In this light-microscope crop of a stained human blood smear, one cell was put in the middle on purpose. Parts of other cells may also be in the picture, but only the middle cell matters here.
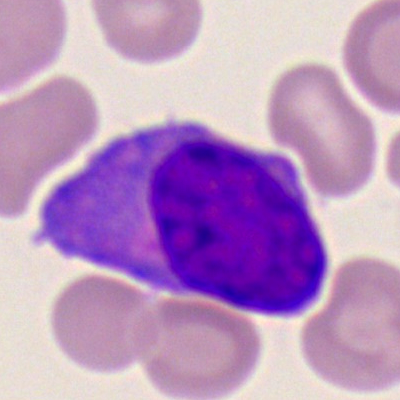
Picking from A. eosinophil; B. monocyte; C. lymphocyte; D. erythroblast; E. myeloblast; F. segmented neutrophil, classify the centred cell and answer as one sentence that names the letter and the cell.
Option E is to be chosen, as the central cell is a myeloblast.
